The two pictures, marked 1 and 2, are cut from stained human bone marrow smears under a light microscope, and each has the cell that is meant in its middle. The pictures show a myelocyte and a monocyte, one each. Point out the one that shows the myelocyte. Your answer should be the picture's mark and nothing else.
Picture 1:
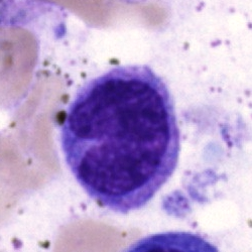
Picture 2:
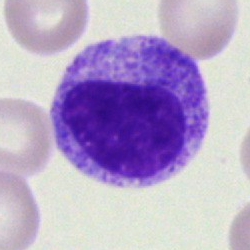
2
